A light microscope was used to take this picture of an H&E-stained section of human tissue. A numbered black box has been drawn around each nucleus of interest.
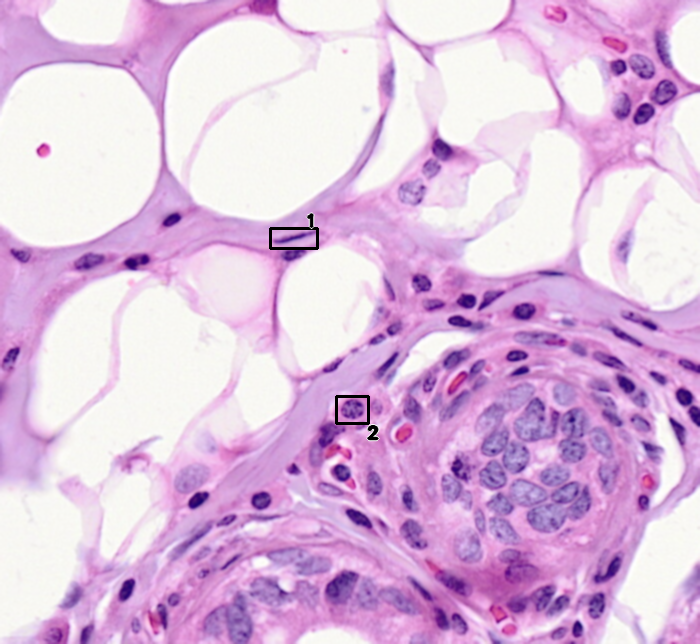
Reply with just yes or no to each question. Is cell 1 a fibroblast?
yes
